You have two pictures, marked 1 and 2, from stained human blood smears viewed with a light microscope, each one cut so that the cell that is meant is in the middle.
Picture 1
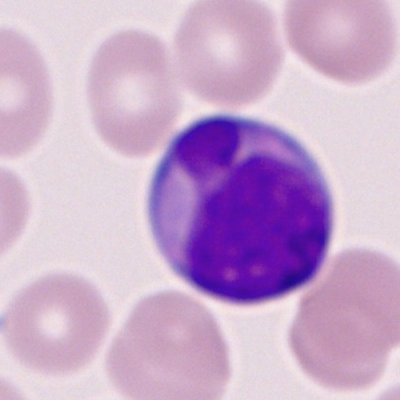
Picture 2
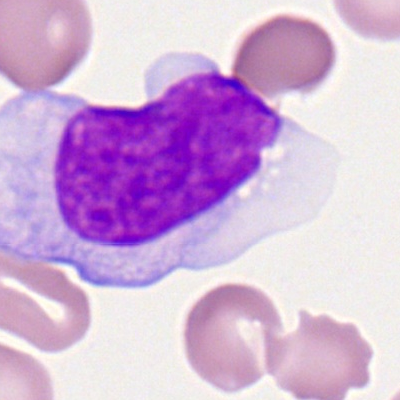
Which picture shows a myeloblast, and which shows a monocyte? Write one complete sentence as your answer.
In picture 1 the cell is a myeloblast; in picture 2, a monocyte.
